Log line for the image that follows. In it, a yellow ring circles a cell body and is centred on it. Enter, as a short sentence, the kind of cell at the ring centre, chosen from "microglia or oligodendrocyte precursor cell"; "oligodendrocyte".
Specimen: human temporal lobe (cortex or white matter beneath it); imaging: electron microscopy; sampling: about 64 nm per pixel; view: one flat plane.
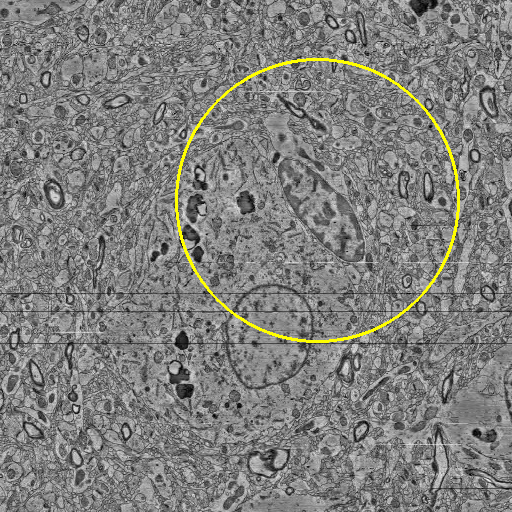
The ring centre is occupied by a microglial cell or oligodendrocyte precursor cell.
